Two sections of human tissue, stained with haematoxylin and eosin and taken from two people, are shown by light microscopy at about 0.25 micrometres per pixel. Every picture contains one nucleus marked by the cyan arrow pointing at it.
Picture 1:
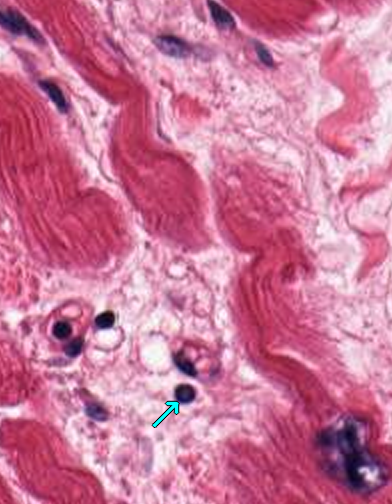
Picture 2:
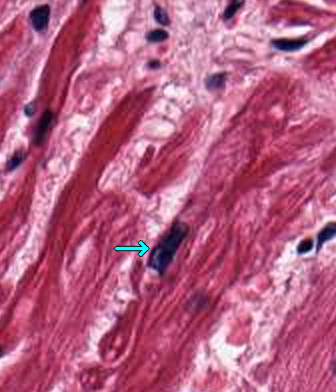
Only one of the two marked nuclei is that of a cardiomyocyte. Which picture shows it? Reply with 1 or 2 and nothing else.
2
